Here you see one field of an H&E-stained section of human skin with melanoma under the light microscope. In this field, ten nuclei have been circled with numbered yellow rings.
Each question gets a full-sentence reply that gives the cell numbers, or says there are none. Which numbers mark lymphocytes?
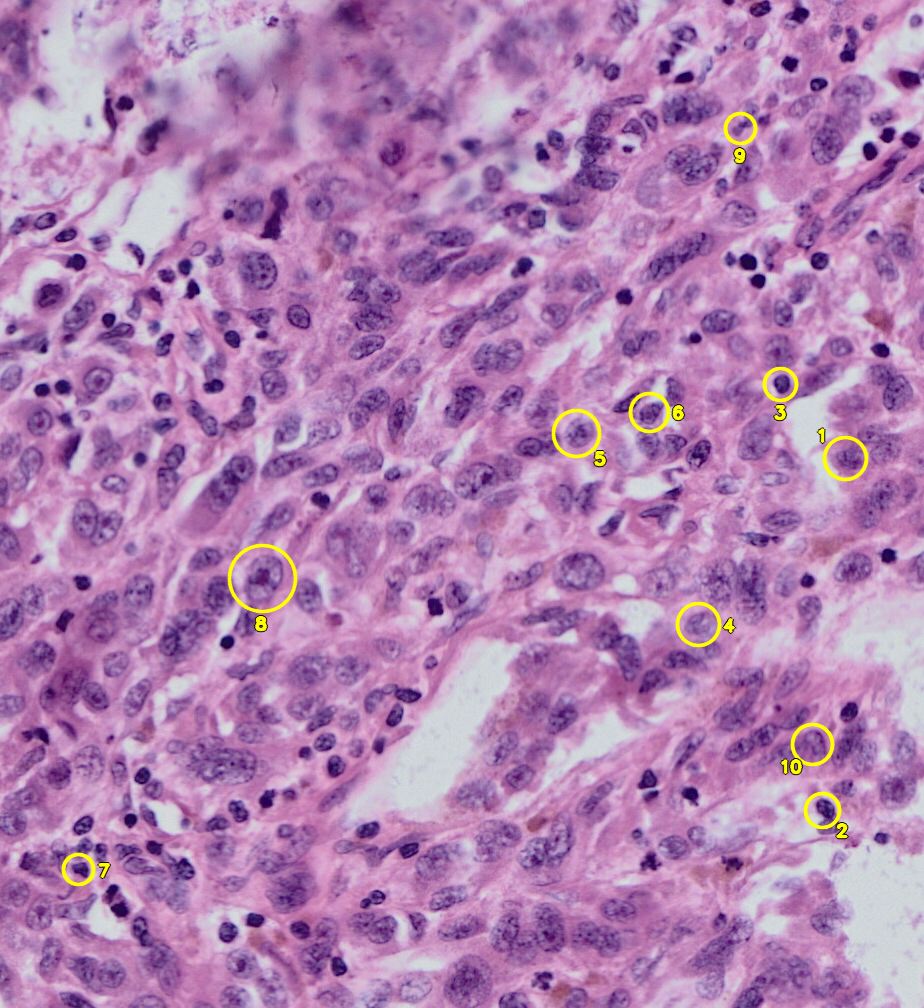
Here, the cells that carry numbers 2, 3 and 7 are lymphocytes.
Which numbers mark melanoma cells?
The cells whose numbers are 1, 4, 5, 6, 8 and 10 are melanoma cells.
